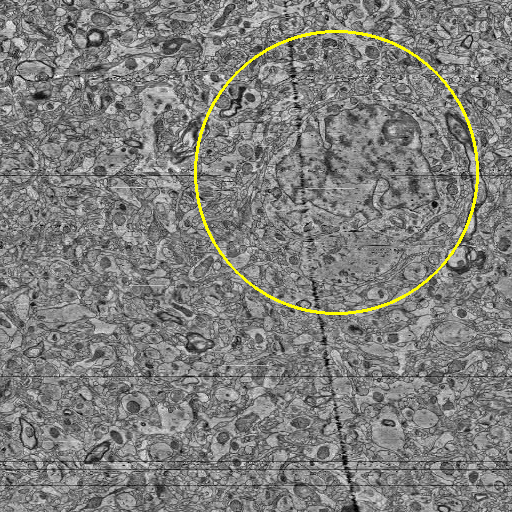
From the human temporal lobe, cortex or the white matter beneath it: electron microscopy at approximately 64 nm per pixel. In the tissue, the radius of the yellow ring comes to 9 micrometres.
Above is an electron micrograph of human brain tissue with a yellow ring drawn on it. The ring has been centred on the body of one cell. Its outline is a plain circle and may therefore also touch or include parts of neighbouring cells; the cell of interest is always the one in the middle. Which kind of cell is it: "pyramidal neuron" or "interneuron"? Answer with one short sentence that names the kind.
The ring's central cell body is that of an interneuron.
